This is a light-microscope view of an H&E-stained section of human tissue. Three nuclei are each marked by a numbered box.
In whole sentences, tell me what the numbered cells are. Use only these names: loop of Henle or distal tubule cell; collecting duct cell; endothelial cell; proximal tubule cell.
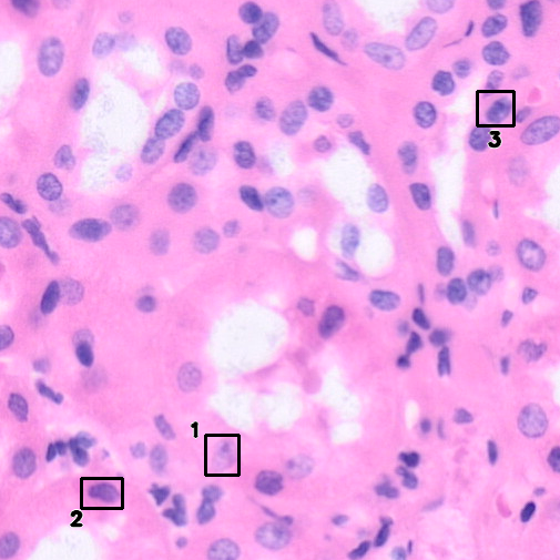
Cells 1 and 2 are proximal tubule cells. Cell 3 is a collecting duct cell.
